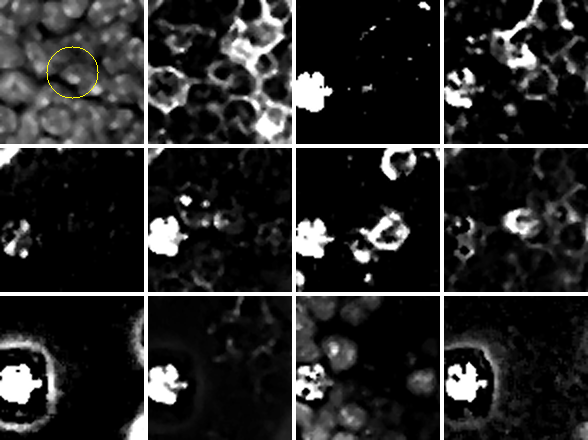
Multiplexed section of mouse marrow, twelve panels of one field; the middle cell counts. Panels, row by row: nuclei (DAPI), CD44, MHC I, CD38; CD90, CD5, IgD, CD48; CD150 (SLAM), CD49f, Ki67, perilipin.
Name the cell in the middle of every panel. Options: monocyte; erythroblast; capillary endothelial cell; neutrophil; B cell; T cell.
monocyte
